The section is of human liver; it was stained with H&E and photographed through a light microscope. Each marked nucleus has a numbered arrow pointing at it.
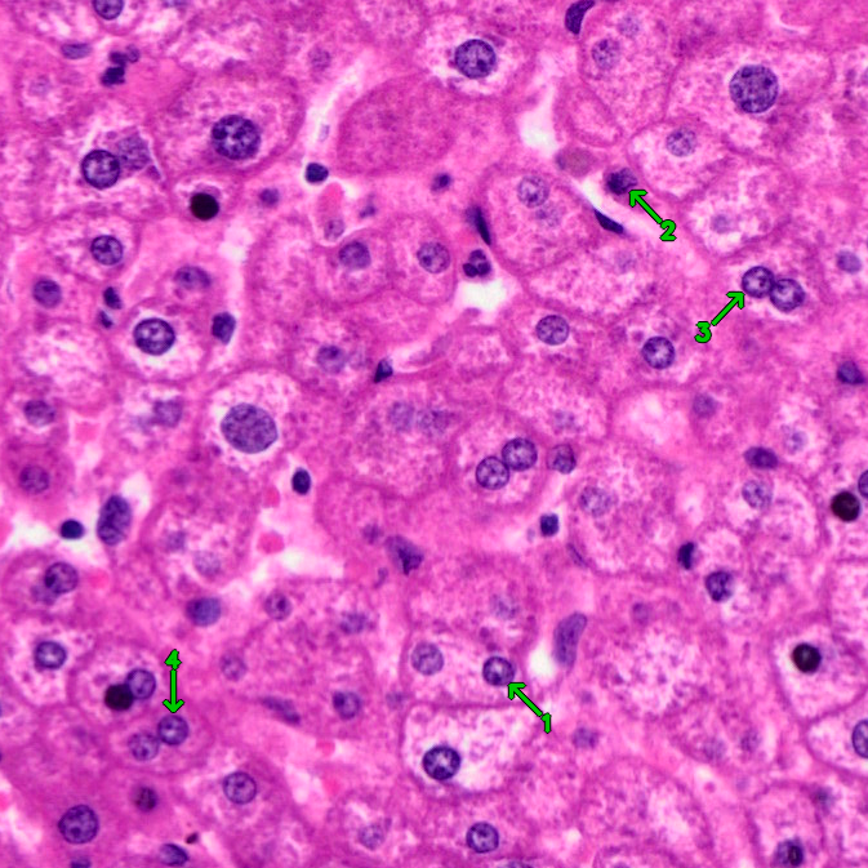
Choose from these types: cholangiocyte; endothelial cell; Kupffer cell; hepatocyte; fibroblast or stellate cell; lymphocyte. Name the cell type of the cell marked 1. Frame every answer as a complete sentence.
The cell that is numbered 1 is a hepatocyte.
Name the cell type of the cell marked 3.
Here the cell numbered 3 is a hepatocyte.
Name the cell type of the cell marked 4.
As for number 4, that cell is a hepatocyte.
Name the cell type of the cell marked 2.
Here, the cell given the number 2 is a Kupffer cell.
